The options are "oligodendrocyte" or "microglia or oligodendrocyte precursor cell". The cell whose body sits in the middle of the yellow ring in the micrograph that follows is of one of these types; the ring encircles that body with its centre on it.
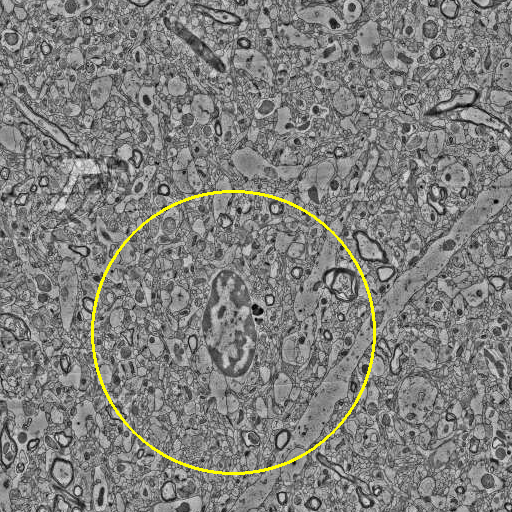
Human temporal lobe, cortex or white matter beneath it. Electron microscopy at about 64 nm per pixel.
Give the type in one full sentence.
Going by the micrograph, the cell centred in the yellow ring is a microglial cell or oligodendrocyte precursor cell.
